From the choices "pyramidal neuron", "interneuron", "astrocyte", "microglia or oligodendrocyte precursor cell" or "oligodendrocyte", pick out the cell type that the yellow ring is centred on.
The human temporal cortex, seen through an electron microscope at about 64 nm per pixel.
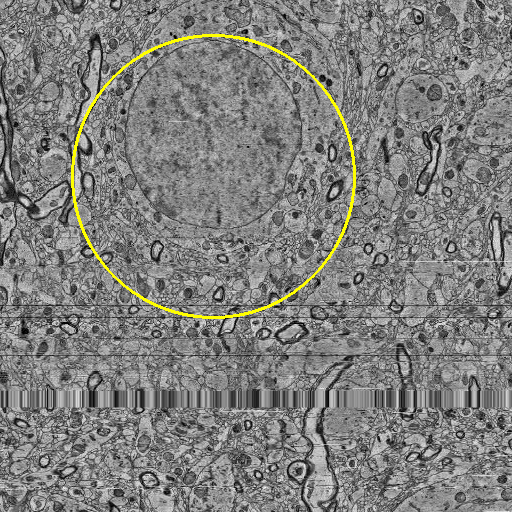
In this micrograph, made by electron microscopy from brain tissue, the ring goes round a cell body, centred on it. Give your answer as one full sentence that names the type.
The yellow ring is centred on an interneuron, whose cell body it encircles in the picture.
